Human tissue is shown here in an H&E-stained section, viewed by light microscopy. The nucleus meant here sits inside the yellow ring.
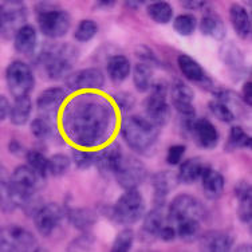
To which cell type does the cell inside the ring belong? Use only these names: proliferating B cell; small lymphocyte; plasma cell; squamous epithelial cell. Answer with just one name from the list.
proliferating B cell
